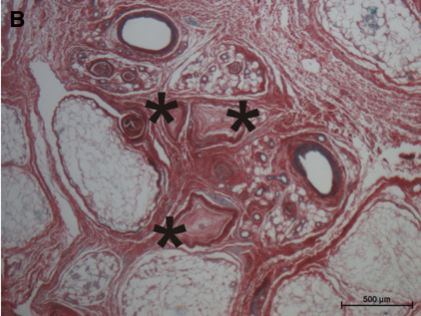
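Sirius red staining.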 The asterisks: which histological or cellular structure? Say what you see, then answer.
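Pacinian bodies. They lie among pale lobules of fat cells and blood vessels.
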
